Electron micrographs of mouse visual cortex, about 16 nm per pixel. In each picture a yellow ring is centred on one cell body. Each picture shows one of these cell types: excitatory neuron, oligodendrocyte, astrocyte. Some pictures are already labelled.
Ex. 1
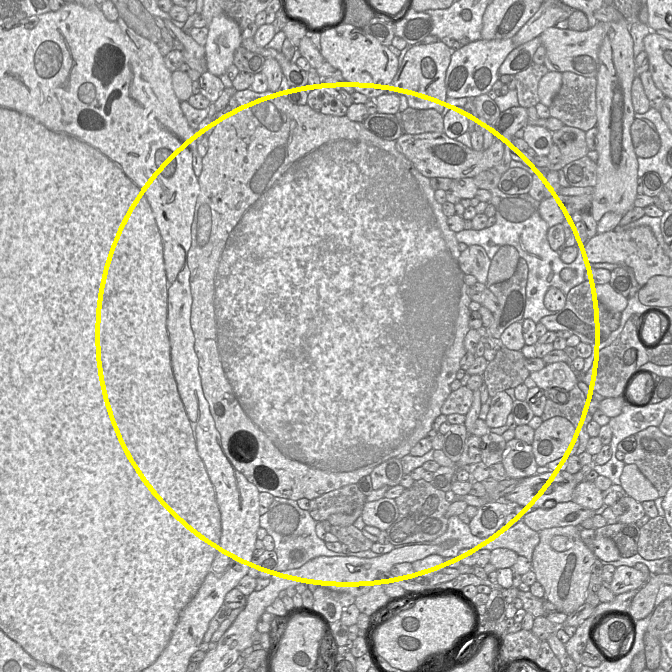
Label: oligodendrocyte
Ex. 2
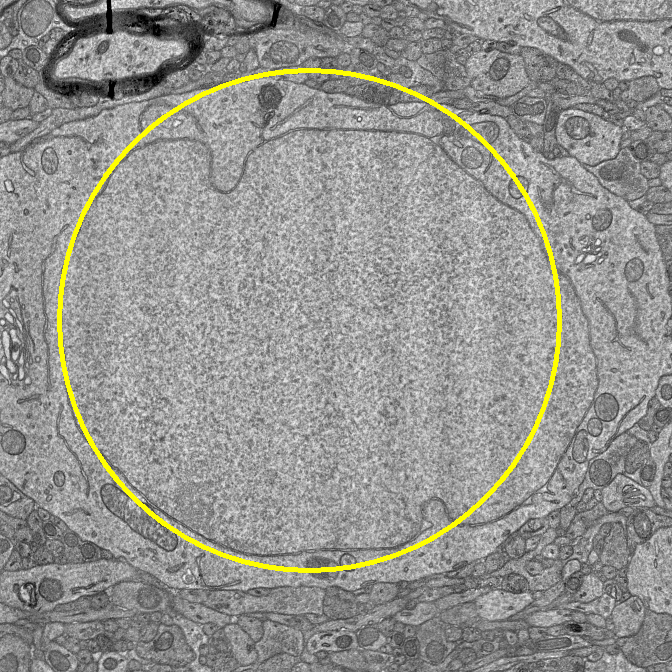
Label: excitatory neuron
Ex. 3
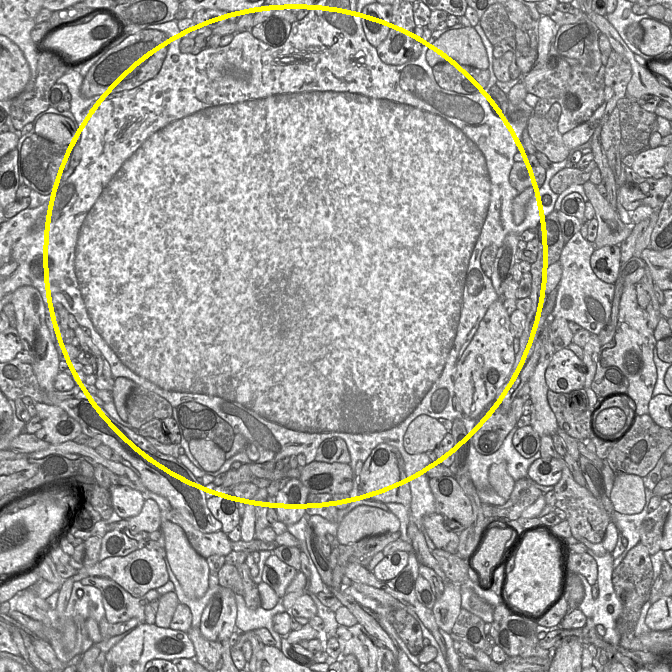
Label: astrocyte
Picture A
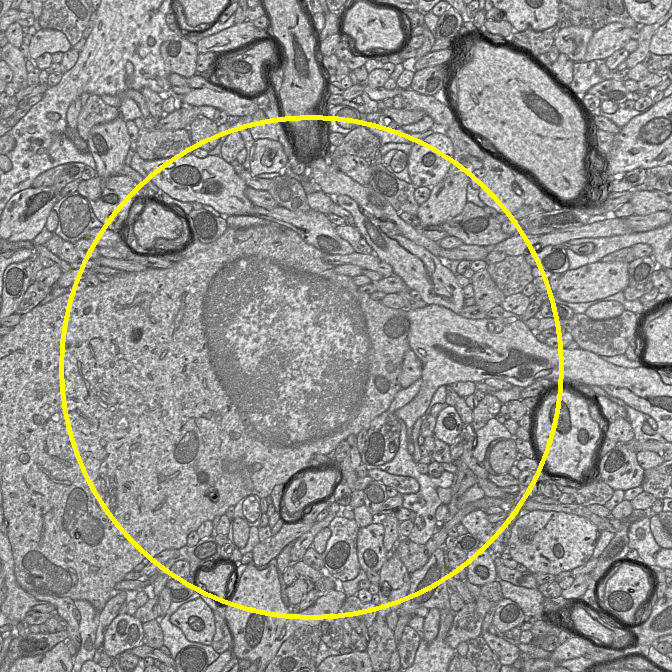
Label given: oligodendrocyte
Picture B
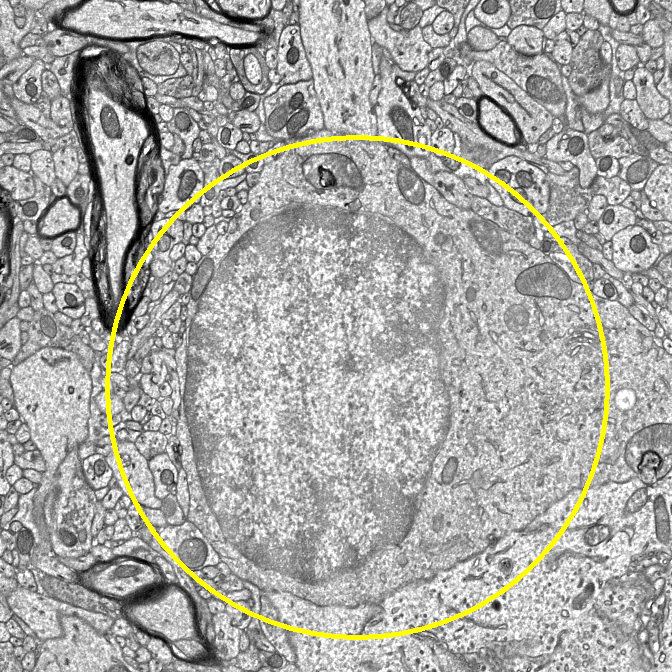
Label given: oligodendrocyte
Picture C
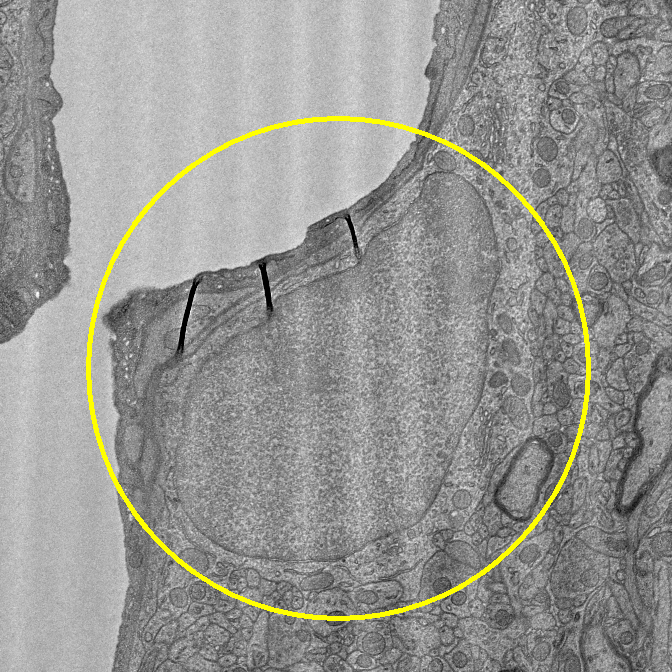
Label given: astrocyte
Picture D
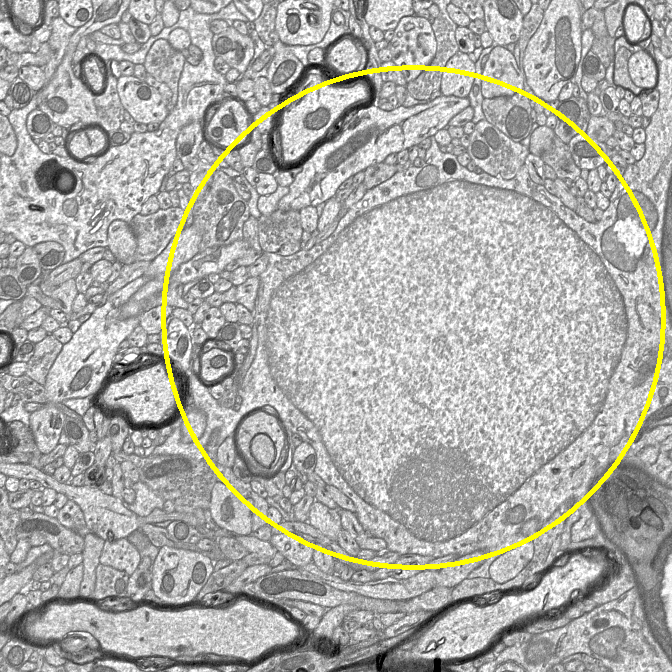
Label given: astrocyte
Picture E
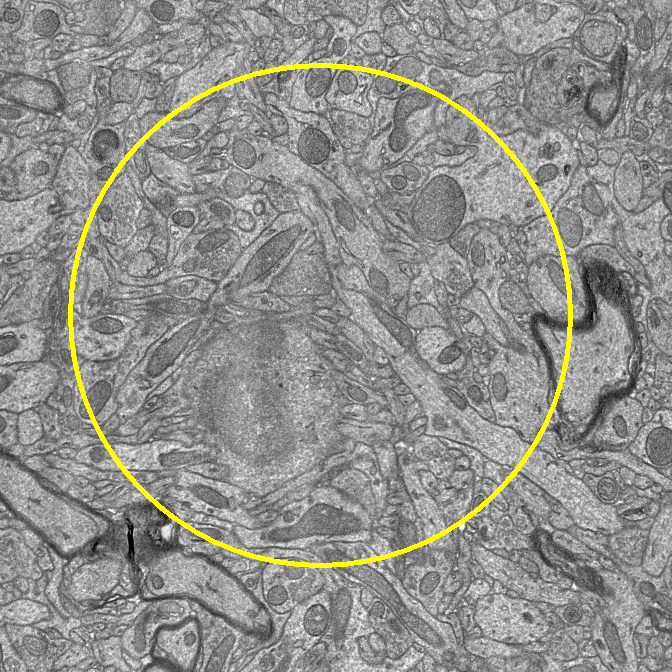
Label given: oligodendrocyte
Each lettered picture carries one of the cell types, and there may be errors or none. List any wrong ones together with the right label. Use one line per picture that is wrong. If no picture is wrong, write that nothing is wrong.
No label is wrong.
